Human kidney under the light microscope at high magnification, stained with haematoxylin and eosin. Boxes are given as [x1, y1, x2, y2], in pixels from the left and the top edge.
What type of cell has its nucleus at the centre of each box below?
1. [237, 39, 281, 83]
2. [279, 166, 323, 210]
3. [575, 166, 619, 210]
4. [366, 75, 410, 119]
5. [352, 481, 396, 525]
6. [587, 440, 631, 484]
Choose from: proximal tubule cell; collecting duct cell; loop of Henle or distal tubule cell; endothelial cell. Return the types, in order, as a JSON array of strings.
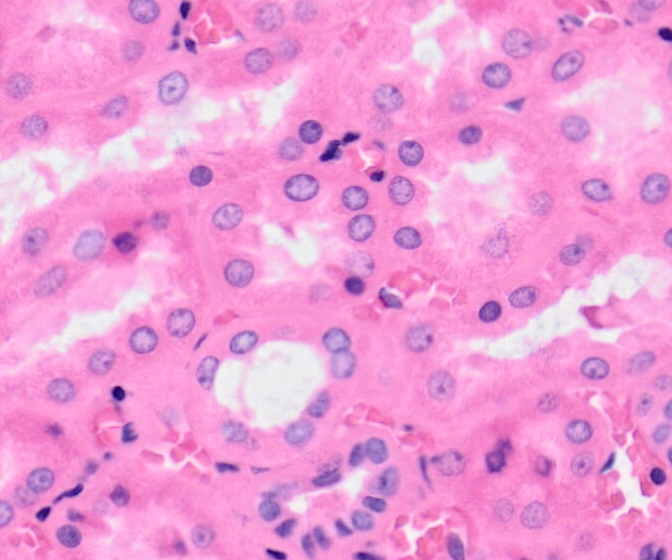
["proximal tubule cell", "proximal tubule cell", "proximal tubule cell", "proximal tubule cell", "collecting duct cell", "endothelial cell"]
